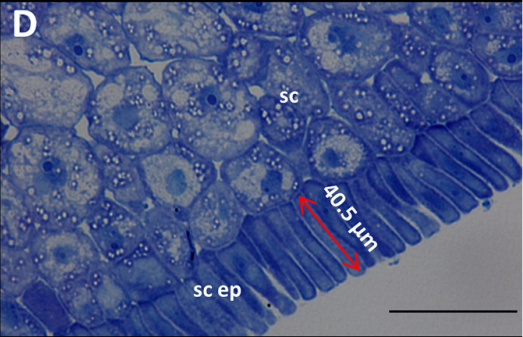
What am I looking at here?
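Section through the scutellum of a grain, with a row of elongated columnar epithelial cells along the lower right edge, arranged side by side like a palisade and stained deep blue. The rounded parenchyma cells above them contain many small clear vacuole-like spaces in their cytoplasm and large pale nuclei with dark nucleoli.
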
